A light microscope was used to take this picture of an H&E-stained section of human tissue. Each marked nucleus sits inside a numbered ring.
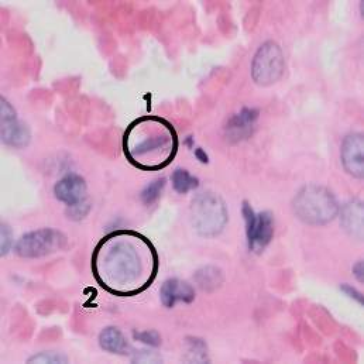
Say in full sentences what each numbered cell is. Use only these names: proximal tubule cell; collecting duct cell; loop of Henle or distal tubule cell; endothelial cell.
Cell 1 is an endothelial cell. Cell 2 is a collecting duct cell.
